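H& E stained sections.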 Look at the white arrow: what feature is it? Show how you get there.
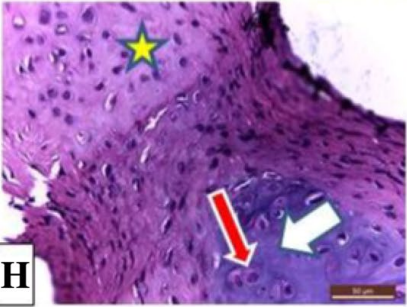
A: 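Light purple matrix. A pale purple matrix area at the bottom. Cells in lacunae sit within it.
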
